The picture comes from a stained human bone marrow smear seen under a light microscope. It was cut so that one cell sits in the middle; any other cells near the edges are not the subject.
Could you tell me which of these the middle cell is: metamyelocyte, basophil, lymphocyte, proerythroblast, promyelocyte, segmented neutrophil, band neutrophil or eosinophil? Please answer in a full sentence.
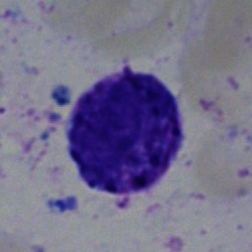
The centrally placed cell is classified as a basophil.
